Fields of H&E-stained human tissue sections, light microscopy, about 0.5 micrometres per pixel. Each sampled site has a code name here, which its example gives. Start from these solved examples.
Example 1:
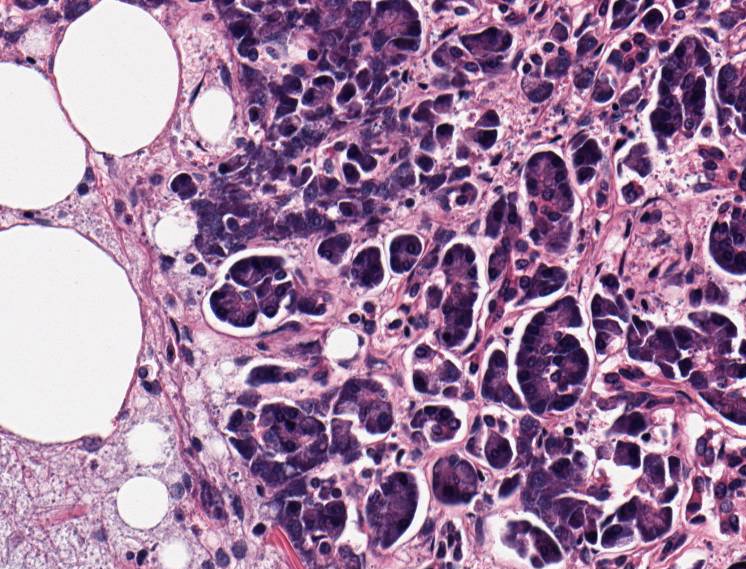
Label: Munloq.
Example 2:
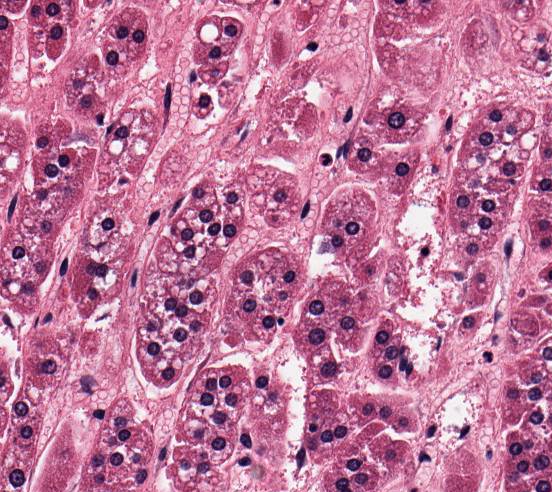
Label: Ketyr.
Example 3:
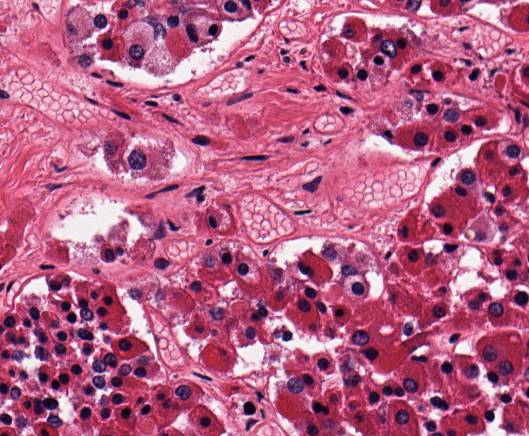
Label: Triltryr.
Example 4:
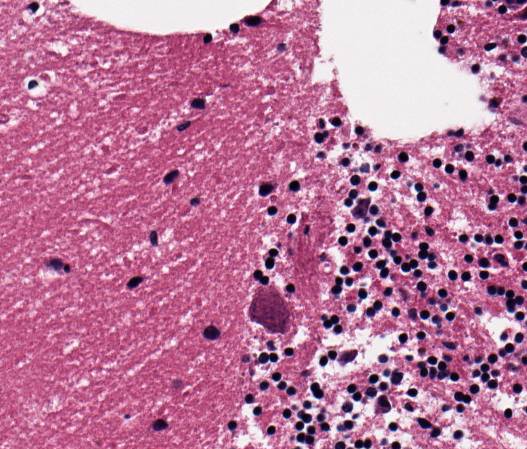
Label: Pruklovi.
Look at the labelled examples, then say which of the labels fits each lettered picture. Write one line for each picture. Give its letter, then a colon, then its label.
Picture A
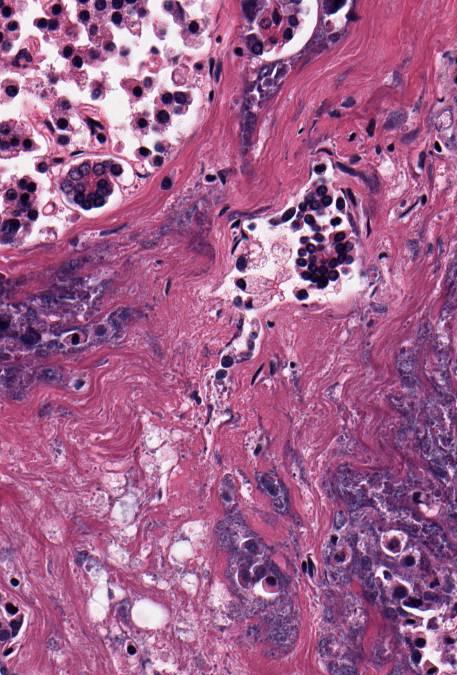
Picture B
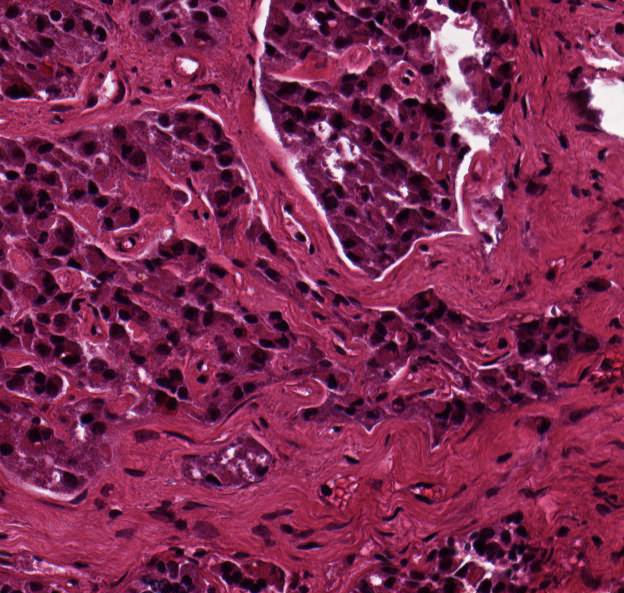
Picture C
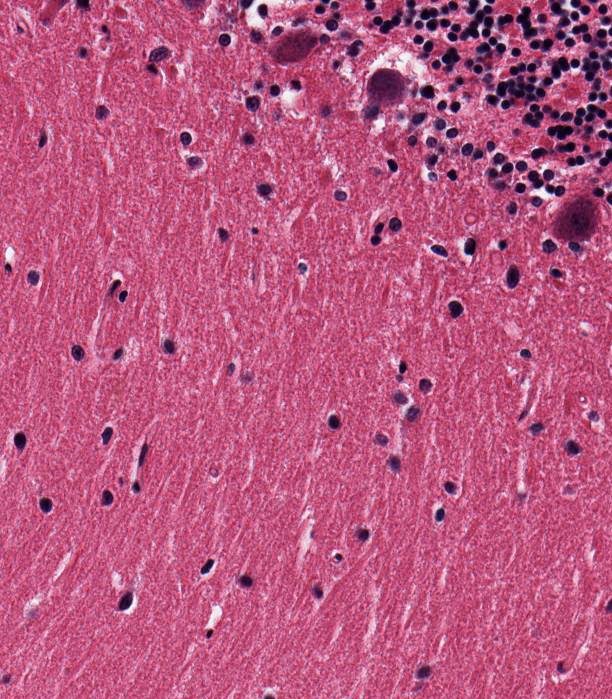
A: Munloq.
B: Triltryr.
C: Pruklovi.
